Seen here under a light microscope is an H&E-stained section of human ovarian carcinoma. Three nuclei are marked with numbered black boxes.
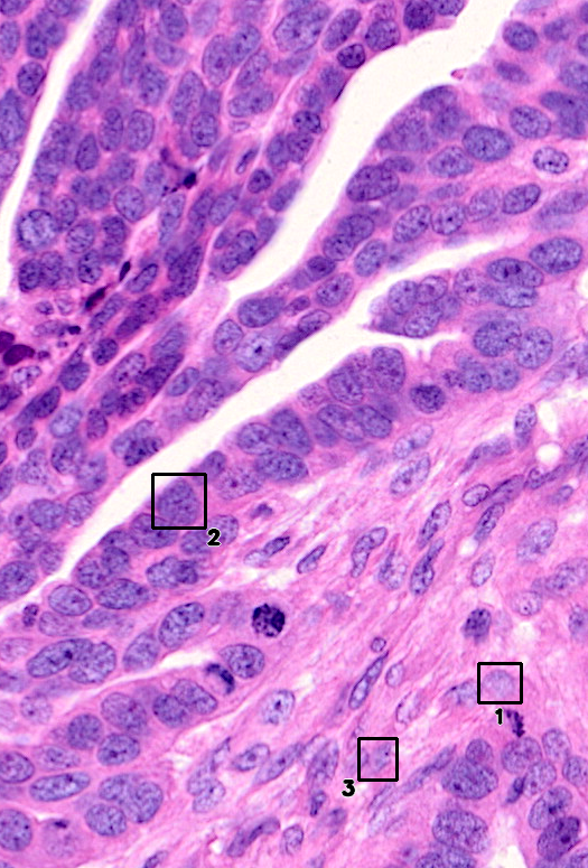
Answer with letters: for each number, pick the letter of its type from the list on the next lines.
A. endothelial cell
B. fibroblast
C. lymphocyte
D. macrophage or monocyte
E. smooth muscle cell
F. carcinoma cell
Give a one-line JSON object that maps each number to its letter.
{"1": "B", "2": "F", "3": "B"}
